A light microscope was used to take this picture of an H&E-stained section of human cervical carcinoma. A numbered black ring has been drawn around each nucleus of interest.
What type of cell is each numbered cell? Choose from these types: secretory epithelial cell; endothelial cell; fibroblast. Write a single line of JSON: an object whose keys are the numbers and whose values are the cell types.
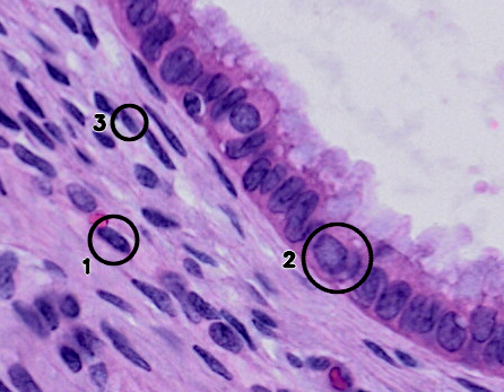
{"1": "endothelial cell", "2": "secretory epithelial cell", "3": "fibroblast"}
